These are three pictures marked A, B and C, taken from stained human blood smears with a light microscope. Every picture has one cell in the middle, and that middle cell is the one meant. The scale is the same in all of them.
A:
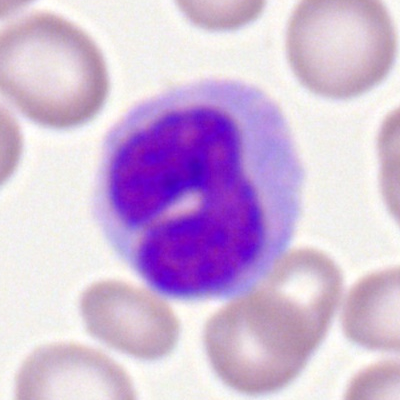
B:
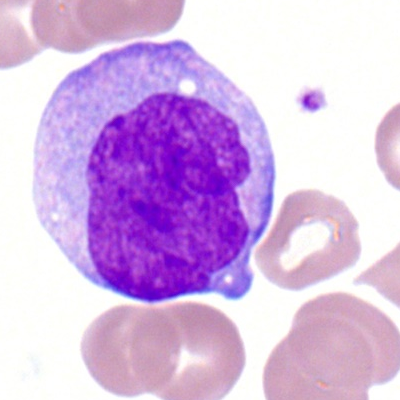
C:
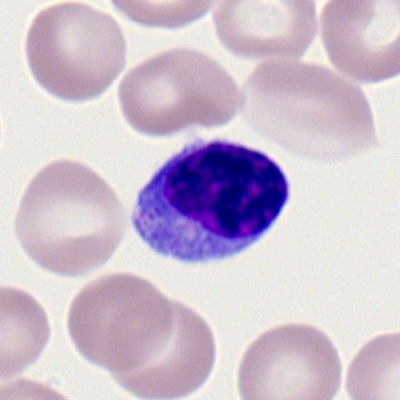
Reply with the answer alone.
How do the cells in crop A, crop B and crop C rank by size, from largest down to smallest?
B, A, C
